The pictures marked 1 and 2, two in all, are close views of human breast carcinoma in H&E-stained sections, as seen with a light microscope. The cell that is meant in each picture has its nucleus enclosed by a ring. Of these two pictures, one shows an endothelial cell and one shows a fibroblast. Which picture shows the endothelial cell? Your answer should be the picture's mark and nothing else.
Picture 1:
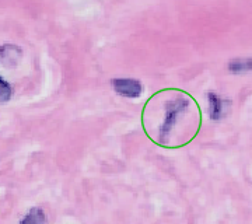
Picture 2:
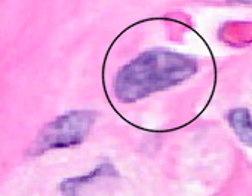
2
